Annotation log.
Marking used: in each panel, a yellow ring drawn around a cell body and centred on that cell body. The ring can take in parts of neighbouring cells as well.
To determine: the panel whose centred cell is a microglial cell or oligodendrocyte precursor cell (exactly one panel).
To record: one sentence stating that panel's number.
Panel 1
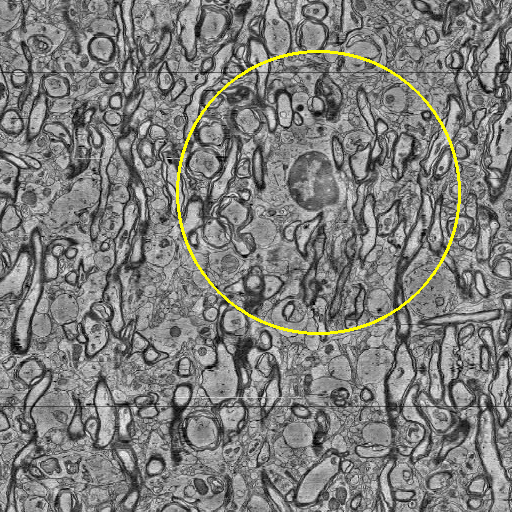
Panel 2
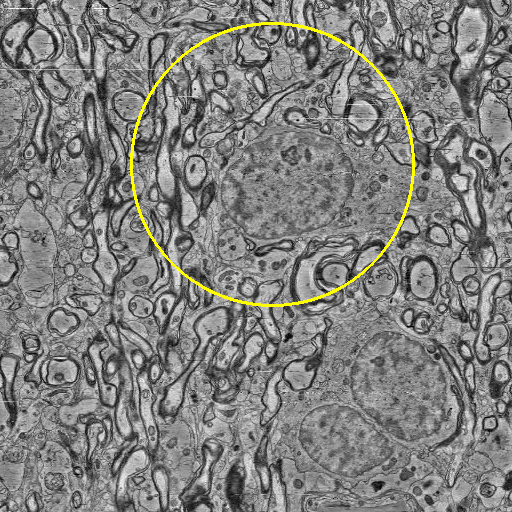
Panel 1 shows it at the centre of its ring.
